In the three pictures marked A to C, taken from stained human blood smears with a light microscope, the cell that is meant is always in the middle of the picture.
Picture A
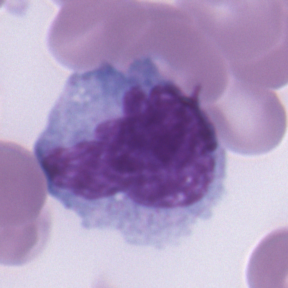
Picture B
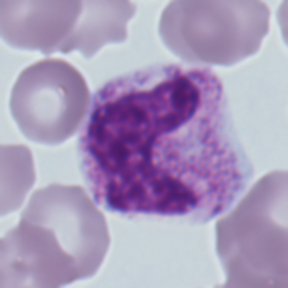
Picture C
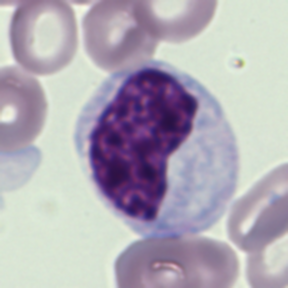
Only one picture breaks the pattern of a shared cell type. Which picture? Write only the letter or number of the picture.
A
